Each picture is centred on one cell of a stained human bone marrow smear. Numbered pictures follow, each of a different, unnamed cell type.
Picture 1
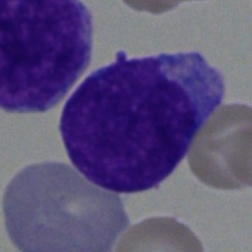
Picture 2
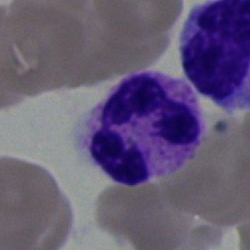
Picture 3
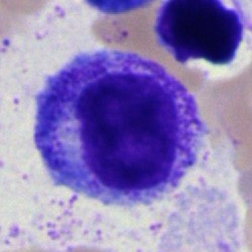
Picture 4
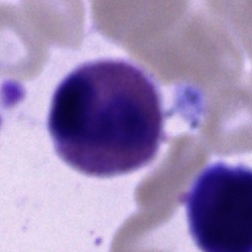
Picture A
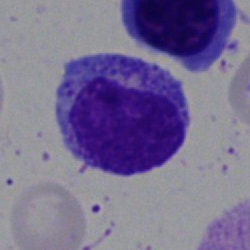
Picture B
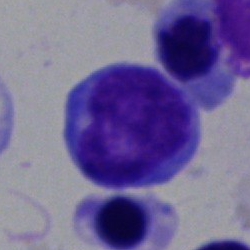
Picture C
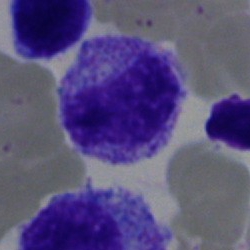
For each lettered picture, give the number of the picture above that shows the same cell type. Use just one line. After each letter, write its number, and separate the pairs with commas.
A 3, B 1, C 3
